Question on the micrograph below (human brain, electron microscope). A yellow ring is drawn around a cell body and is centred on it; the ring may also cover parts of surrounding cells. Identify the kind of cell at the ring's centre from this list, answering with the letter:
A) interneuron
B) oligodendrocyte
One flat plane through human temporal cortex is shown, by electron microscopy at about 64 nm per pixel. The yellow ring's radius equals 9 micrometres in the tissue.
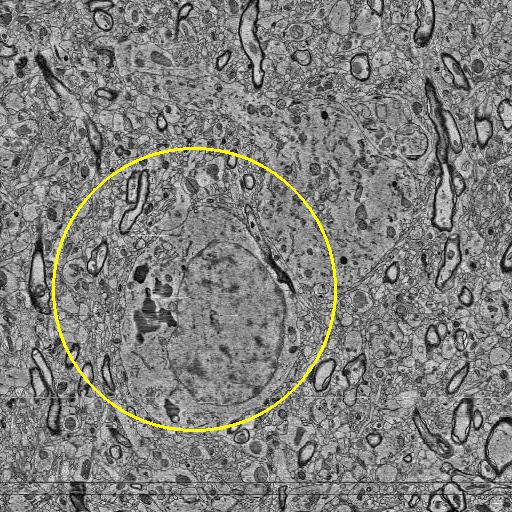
A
